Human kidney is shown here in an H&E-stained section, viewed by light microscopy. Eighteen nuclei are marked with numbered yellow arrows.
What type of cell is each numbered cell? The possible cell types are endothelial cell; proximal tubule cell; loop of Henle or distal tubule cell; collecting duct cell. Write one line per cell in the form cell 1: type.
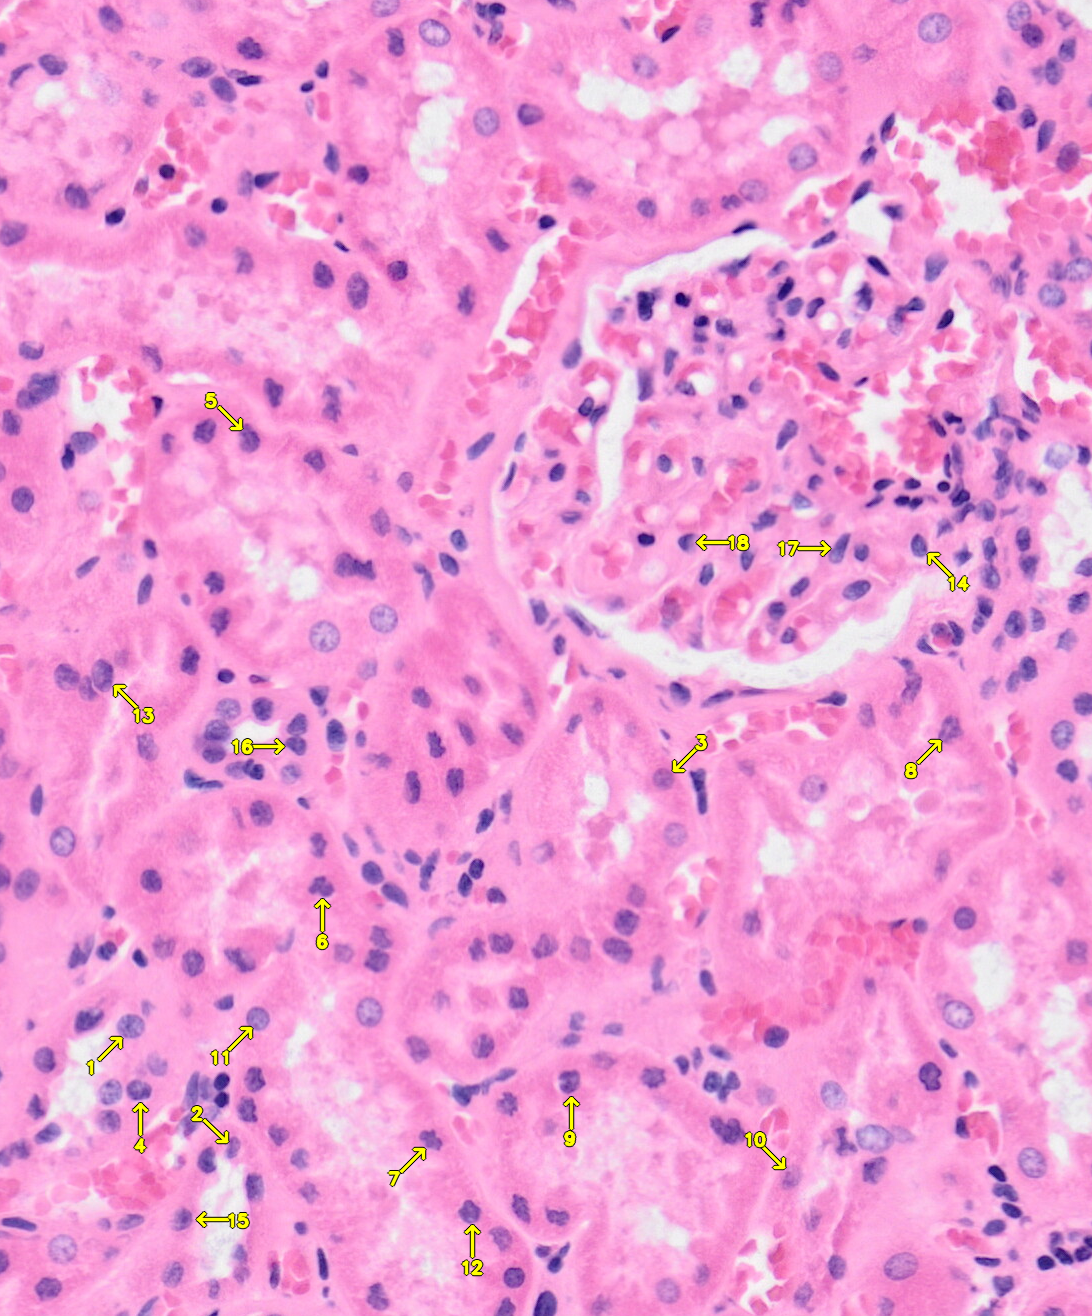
cell 1: loop of Henle or distal tubule cell
cell 2: loop of Henle or distal tubule cell
cell 3: proximal tubule cell
cell 4: loop of Henle or distal tubule cell
cell 5: proximal tubule cell
cell 6: proximal tubule cell
cell 7: proximal tubule cell
cell 8: proximal tubule cell
cell 9: proximal tubule cell
cell 10: proximal tubule cell
cell 11: proximal tubule cell
cell 12: proximal tubule cell
cell 13: proximal tubule cell
cell 14: endothelial cell
cell 15: loop of Henle or distal tubule cell
cell 16: collecting duct cell
cell 17: endothelial cell
cell 18: endothelial cell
